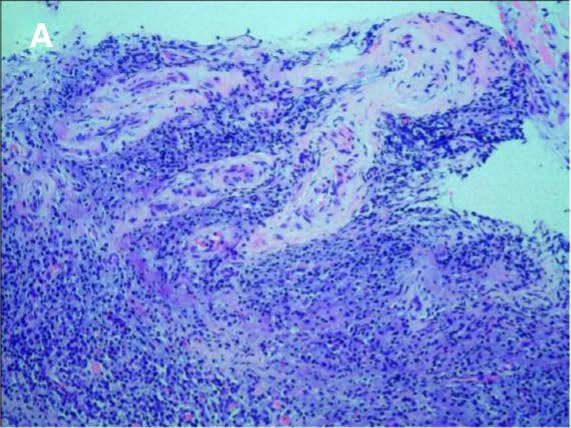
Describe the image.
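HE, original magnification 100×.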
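Fibrous connective tissue is crowded with a dense infiltrate of small round cells with dark, purple-blue nuclei, arranged in broad sheets. Between these cellular areas run pale pink, wavy bands of collagen around small vessels, with elongated spindle-shaped nuclei of fibroblasts. Some fibrous areas look glassy and pale. This is fibroconnective tissue with chronic inflammatory cell infiltration and stromal fibrosis.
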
